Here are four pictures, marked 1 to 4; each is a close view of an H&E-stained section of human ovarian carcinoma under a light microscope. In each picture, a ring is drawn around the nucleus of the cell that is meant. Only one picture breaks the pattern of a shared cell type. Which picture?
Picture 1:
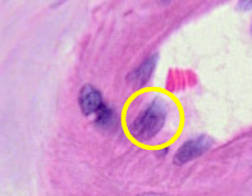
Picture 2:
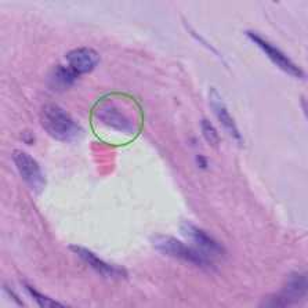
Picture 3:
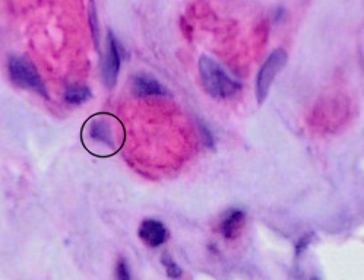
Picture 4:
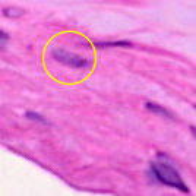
4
